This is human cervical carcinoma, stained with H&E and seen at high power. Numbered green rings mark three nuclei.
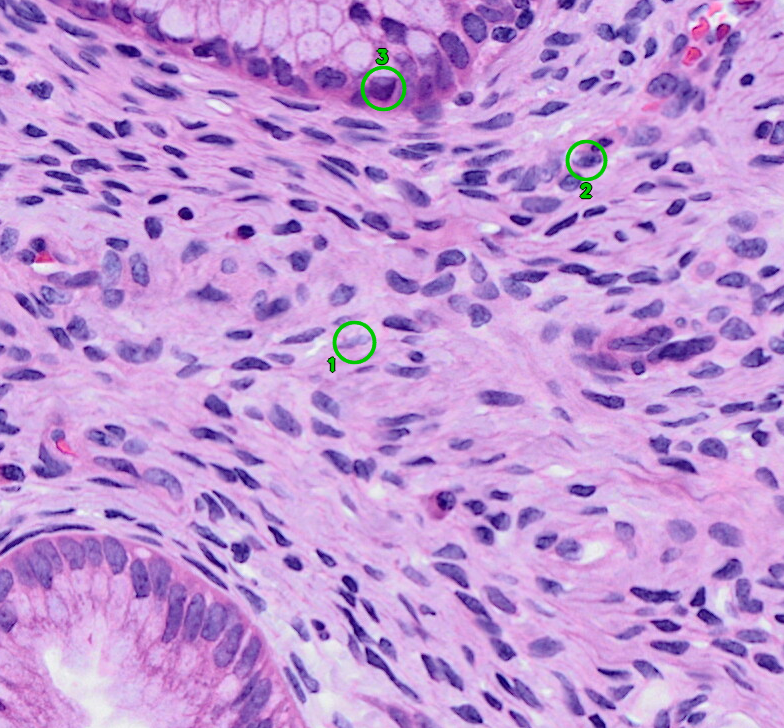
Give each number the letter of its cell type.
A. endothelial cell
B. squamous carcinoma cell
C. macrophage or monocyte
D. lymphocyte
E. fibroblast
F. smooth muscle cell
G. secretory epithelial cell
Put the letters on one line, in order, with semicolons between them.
E; A; G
